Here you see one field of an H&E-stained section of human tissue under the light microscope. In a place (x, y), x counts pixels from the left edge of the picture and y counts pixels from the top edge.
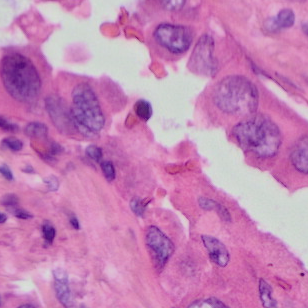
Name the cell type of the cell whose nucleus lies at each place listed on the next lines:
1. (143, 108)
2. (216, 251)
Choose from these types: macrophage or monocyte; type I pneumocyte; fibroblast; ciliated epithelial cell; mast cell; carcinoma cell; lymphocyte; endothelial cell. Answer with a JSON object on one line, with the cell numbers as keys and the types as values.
{"1": "lymphocyte", "2": "macrophage or monocyte"}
